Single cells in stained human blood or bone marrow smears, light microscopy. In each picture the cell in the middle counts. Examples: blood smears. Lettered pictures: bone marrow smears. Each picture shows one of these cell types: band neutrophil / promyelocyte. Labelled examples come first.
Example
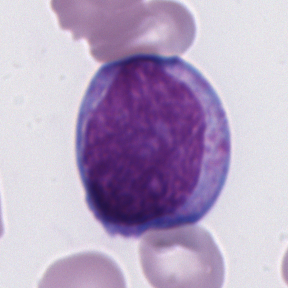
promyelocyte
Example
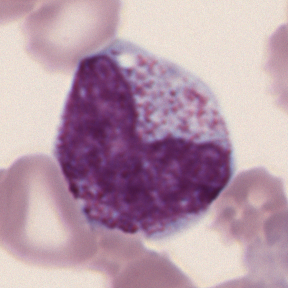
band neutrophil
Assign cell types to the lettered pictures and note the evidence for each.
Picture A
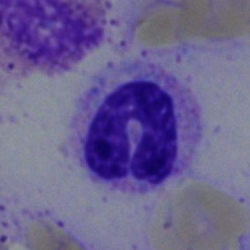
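band neutrophil. Evidence: The chromatin is dense, dark purple and coarsely clumped.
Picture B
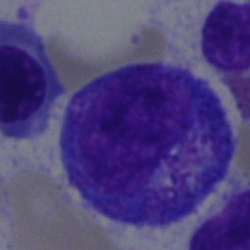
promyelocyte. Evidence: The chromatin looks finely granular rather than coarsely clumped.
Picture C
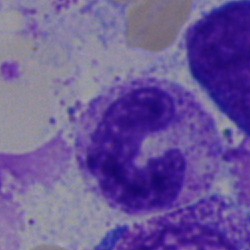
band neutrophil. Evidence: The chromatin is dark purple and coarsely clumped, with small paler patches.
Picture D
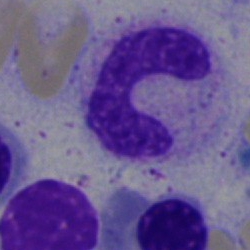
band neutrophil. Evidence: The chromatin is dark purple and coarsely clumped.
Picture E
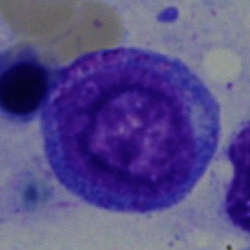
promyelocyte. Evidence: The chromatin is finely textured rather than coarsely clumped.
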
